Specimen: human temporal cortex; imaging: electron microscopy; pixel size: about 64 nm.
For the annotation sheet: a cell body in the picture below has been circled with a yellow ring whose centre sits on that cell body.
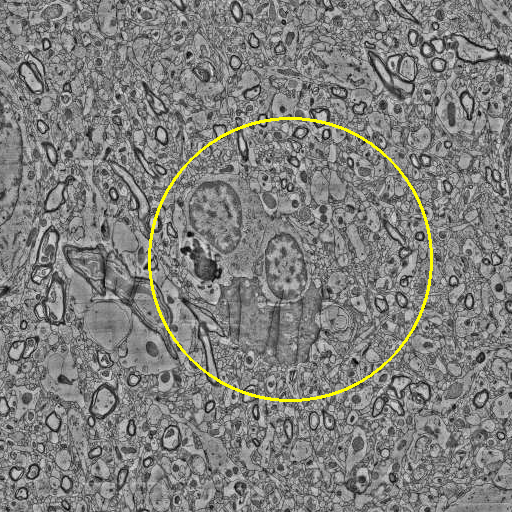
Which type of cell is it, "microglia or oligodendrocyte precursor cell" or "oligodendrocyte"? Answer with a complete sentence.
The circled cell is an oligodendrocyte.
